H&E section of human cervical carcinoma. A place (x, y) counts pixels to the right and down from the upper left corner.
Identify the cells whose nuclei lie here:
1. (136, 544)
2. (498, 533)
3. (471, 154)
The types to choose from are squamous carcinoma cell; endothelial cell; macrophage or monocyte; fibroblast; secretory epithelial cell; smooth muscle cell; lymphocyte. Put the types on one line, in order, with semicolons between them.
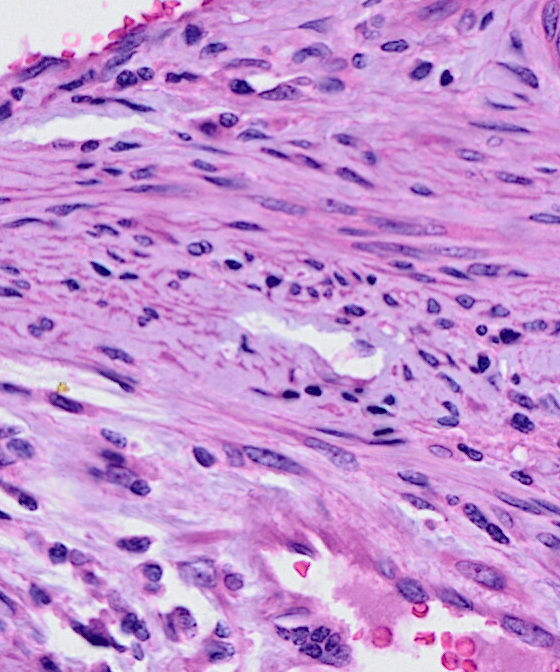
lymphocyte; lymphocyte; smooth muscle cell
